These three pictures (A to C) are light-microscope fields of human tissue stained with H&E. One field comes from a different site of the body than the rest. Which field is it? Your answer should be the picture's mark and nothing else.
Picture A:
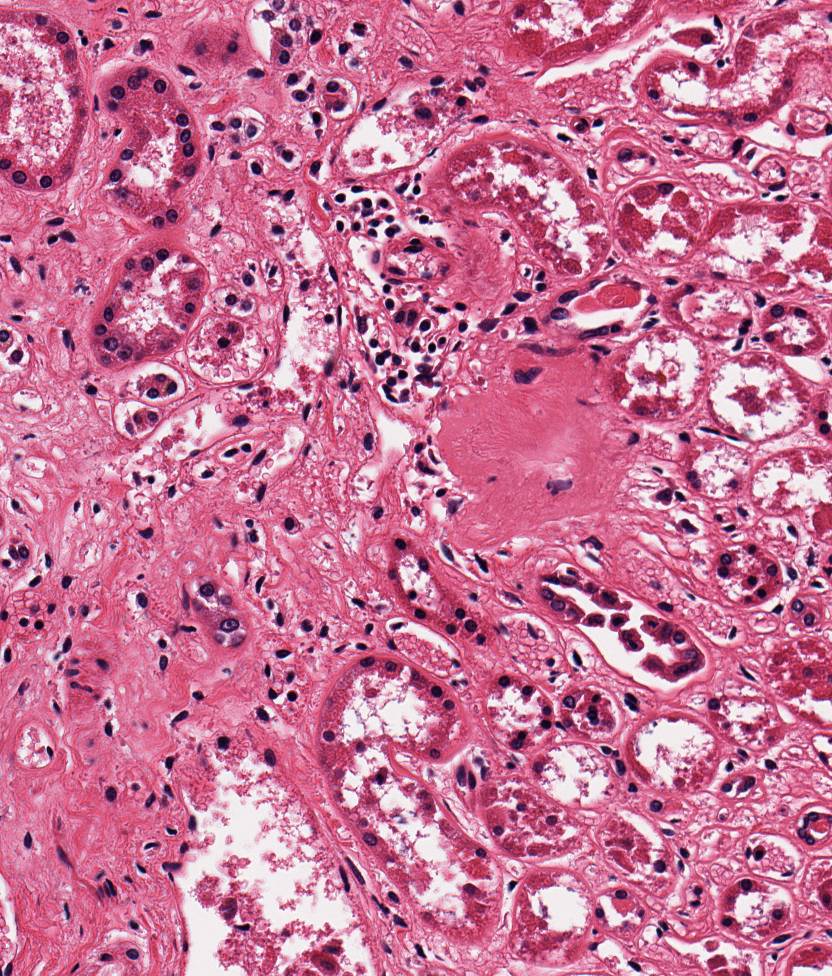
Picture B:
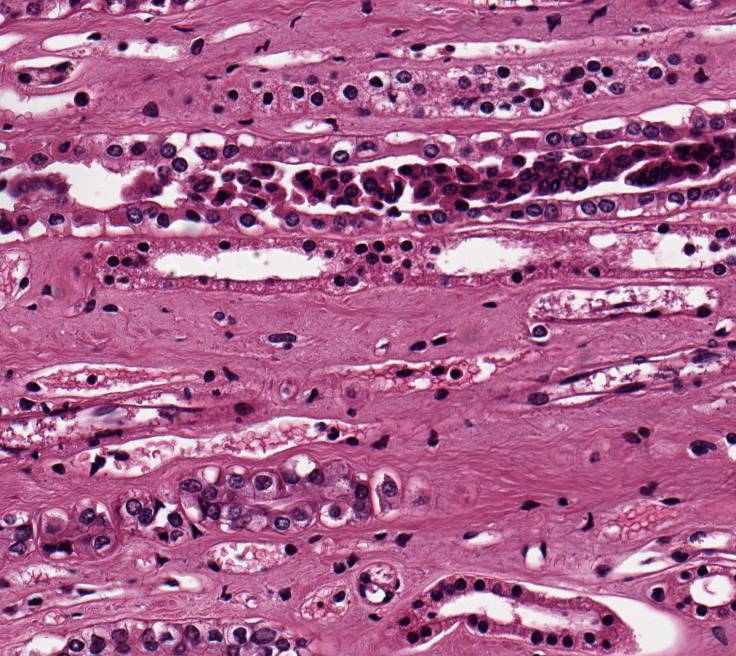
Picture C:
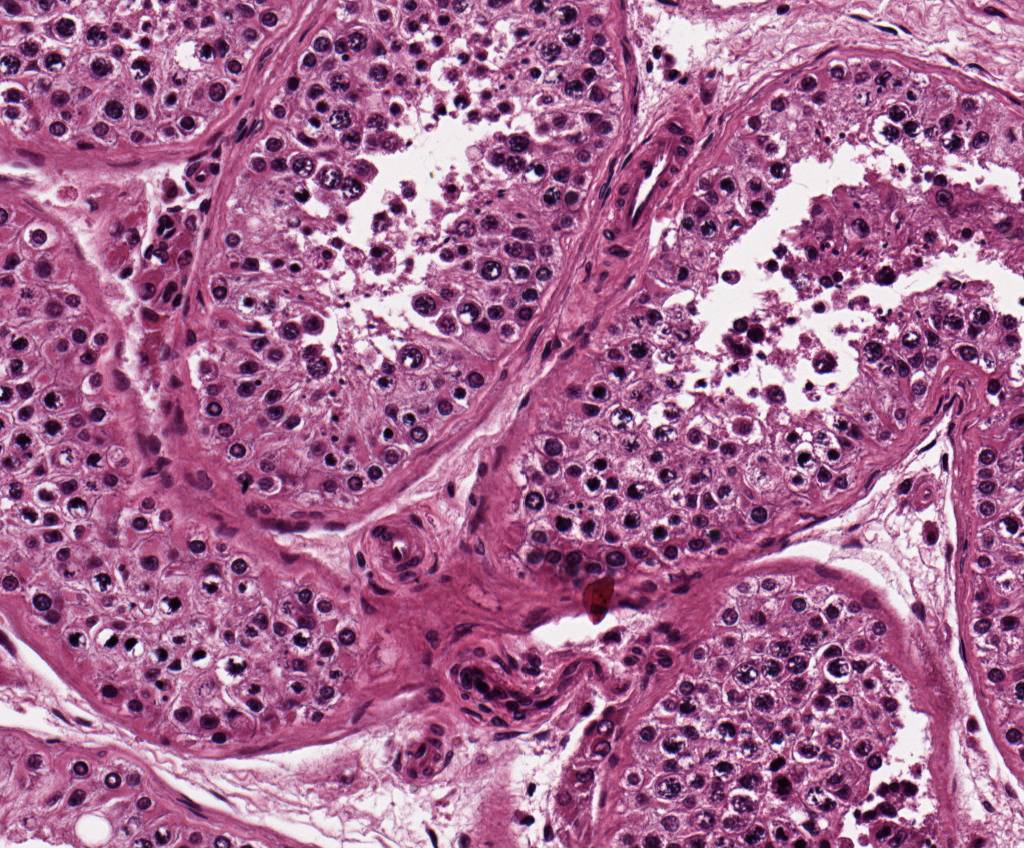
C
